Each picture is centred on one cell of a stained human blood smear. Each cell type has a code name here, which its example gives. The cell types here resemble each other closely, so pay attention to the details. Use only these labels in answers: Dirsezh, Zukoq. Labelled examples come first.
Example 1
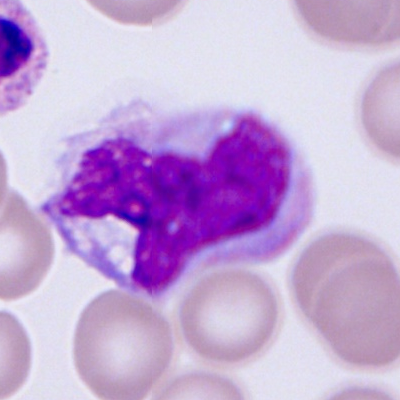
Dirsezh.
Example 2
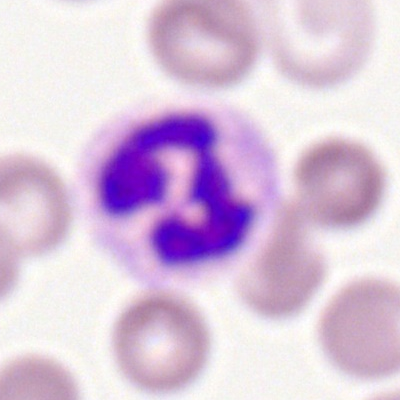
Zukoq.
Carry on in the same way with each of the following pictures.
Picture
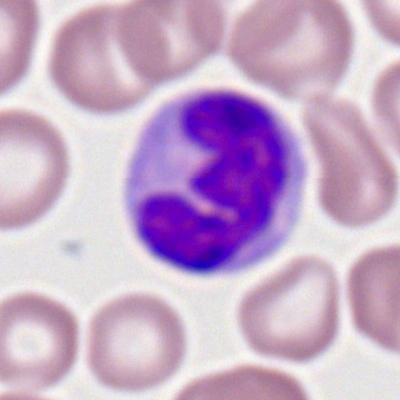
Dirsezh.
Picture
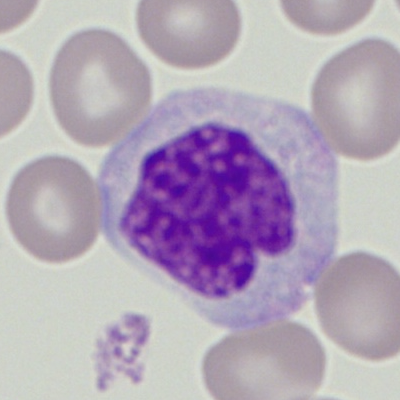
Dirsezh.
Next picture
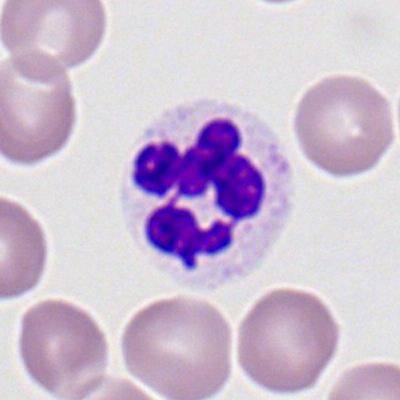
Zukoq.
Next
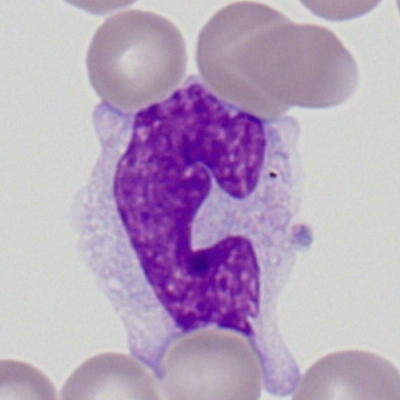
Dirsezh.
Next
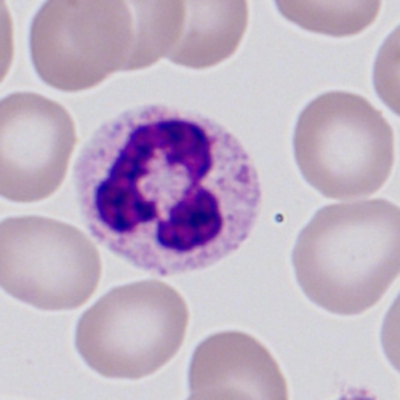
Zukoq.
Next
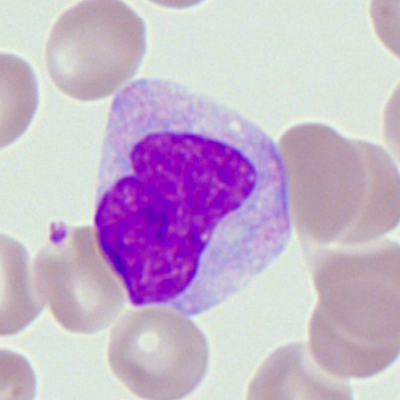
Dirsezh.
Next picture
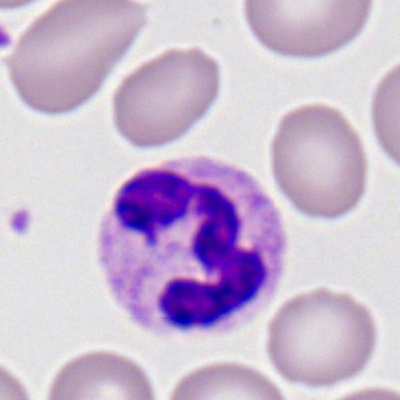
Zukoq.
